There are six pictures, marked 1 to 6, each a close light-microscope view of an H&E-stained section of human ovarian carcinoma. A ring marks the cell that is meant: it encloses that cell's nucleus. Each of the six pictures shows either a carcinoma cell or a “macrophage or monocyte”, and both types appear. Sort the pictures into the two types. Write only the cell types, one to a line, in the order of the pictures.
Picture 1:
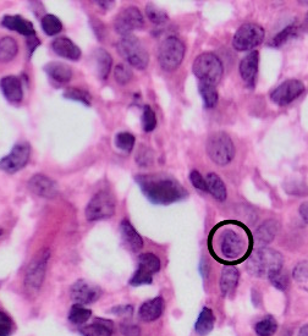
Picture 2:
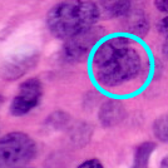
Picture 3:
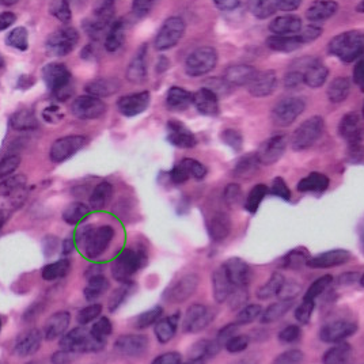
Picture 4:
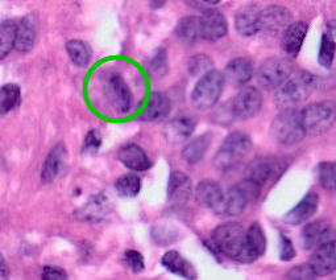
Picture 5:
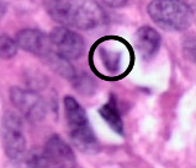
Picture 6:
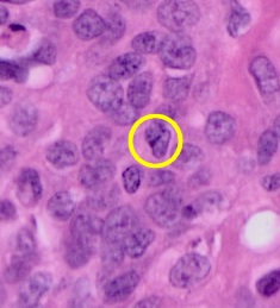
macrophage or monocyte
carcinoma cell
carcinoma cell
carcinoma cell
carcinoma cell
macrophage or monocyte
